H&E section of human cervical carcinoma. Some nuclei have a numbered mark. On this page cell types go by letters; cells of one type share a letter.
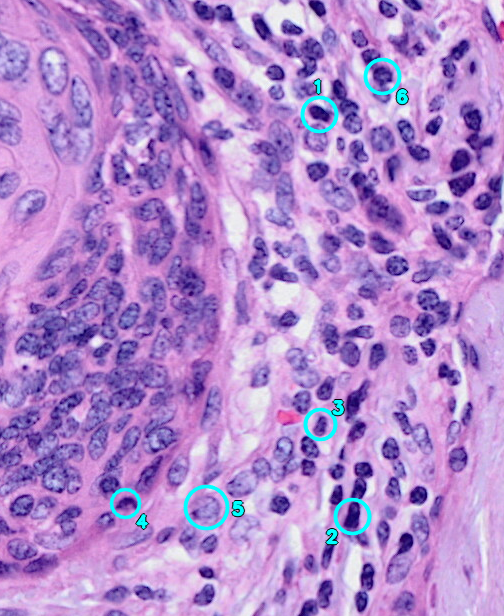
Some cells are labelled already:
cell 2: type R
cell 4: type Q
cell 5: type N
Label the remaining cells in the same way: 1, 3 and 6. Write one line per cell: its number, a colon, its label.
1: type R
3: type R
6: type R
